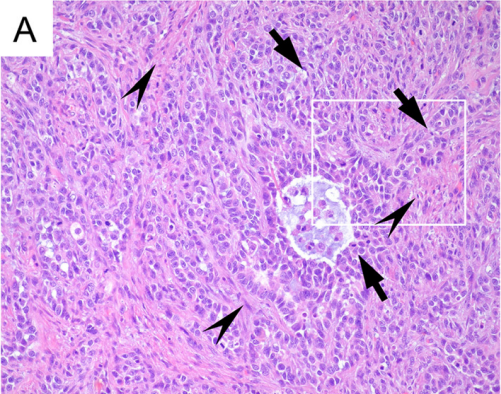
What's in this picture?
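Tumor tissue with oval or spindle-shaped tumor cells arranged in broad sheets. Near the centre a rounded, lumen-like space with pale contents is ringed by tumor cells, giving a focal glandular appearance. Streaming pink bands of elongated cells form fibrous bundles that run between and around the cell sheets. The tumor cells have crowded purple nuclei and scant to moderate pink cytoplasm, with scattered small clear vacuoles.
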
